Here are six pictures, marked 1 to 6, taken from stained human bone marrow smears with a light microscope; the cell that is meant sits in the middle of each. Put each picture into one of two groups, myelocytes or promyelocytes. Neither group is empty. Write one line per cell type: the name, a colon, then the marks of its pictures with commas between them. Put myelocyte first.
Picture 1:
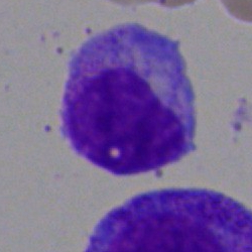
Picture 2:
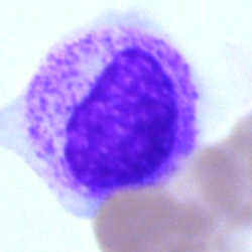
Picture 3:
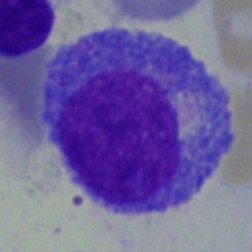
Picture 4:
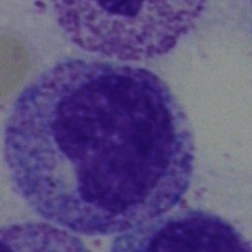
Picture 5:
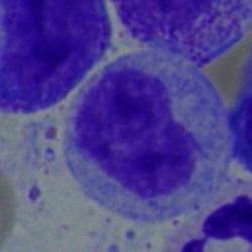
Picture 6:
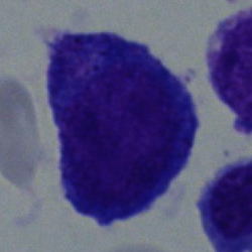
myelocyte: 1, 2, 4, 5
promyelocyte: 3, 6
